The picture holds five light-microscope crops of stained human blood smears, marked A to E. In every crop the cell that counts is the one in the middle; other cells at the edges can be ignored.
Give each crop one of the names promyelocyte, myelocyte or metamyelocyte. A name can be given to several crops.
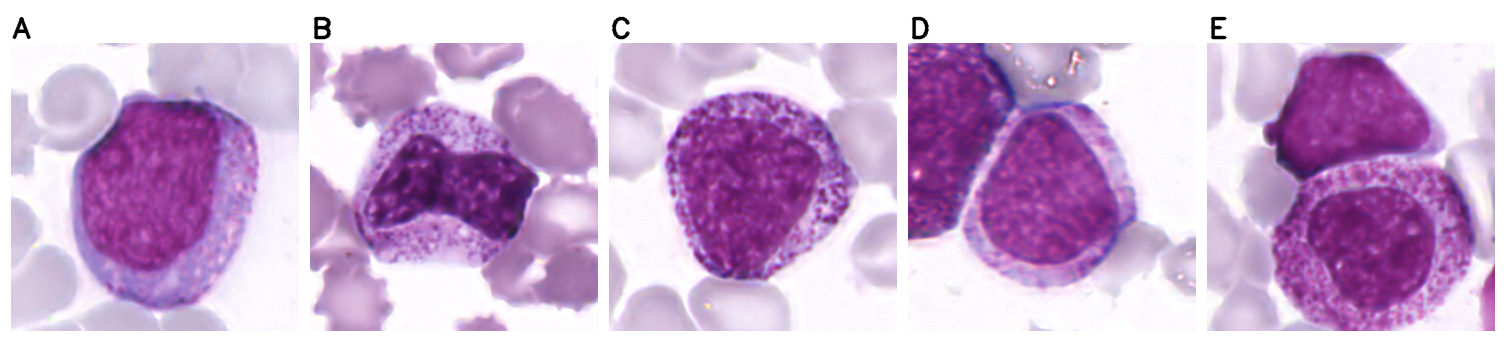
A: promyelocyte
B: metamyelocyte
C: myelocyte
D: promyelocyte
E: myelocyte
